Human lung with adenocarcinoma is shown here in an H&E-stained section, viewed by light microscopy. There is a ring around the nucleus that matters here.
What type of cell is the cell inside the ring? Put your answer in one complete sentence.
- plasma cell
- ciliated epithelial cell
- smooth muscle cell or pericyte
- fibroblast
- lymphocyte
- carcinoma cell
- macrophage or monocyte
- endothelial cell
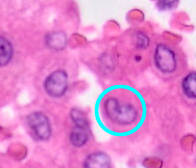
Typologically, the cell inside the ring is a macrophage or monocyte in this section.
